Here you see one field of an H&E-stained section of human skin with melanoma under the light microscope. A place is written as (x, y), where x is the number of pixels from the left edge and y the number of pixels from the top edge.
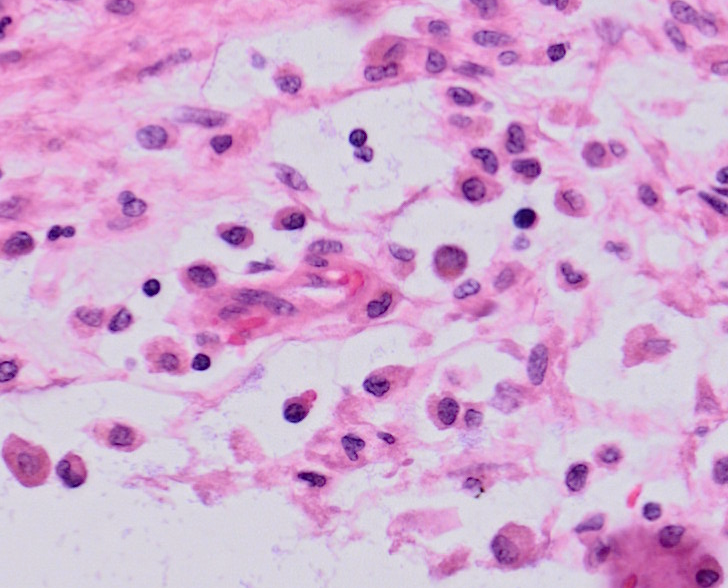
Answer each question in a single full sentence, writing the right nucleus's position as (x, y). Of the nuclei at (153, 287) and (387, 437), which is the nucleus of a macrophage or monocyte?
The nucleus situated at (387, 437) is the one belonging to a macrophage or monocyte.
